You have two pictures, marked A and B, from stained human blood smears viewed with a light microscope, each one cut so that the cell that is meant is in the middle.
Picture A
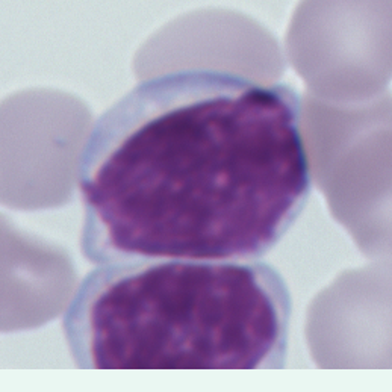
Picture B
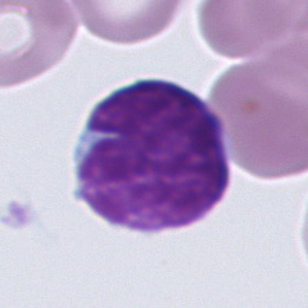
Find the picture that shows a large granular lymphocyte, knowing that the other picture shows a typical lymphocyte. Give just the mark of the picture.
A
